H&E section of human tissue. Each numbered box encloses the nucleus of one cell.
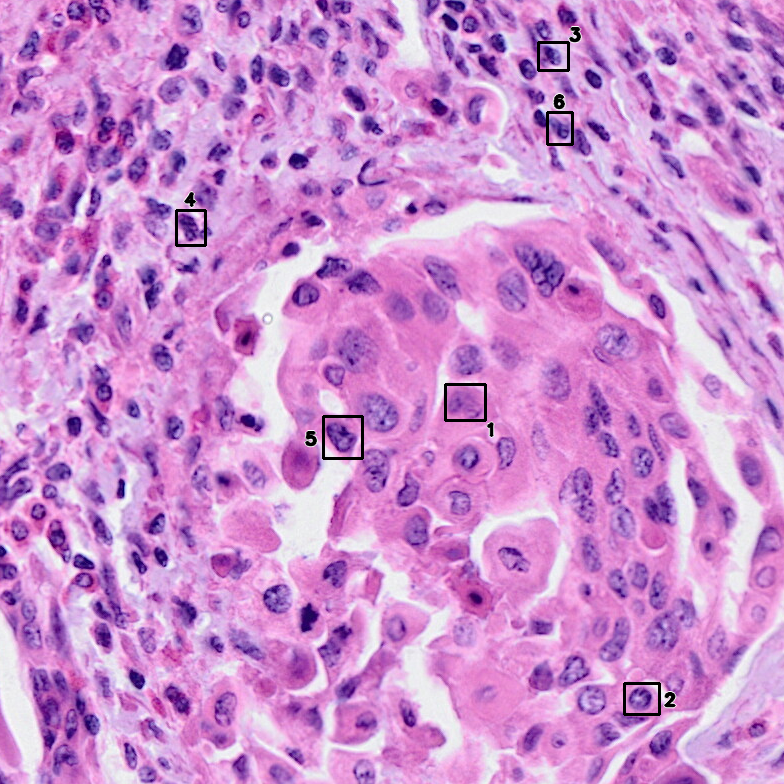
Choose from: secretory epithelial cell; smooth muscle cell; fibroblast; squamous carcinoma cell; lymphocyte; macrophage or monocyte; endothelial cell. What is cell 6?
lymphocyte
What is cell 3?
lymphocyte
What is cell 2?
squamous carcinoma cell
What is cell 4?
lymphocyte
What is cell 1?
squamous carcinoma cell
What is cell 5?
squamous carcinoma cell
